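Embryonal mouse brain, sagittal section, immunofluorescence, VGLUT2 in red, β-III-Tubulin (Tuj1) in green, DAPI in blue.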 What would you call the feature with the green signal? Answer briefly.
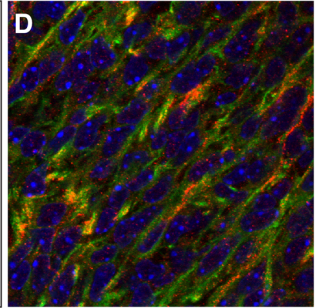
Neuronal fibre bundles.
